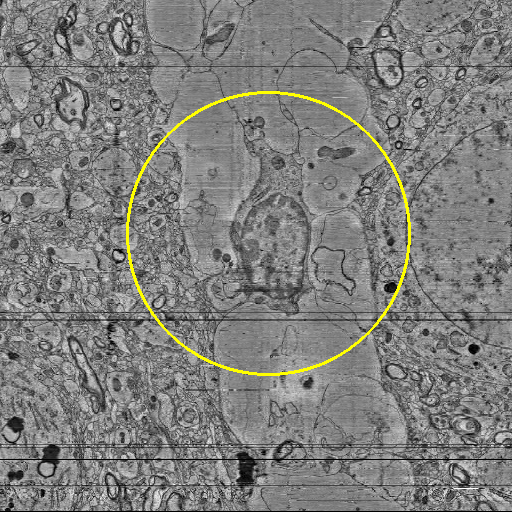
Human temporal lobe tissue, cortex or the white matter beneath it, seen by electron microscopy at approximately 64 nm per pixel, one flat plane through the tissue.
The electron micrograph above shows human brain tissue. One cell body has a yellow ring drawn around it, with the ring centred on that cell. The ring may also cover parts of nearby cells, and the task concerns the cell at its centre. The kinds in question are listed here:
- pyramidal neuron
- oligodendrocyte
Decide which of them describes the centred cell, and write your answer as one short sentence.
The centred cell is an oligodendrocyte.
